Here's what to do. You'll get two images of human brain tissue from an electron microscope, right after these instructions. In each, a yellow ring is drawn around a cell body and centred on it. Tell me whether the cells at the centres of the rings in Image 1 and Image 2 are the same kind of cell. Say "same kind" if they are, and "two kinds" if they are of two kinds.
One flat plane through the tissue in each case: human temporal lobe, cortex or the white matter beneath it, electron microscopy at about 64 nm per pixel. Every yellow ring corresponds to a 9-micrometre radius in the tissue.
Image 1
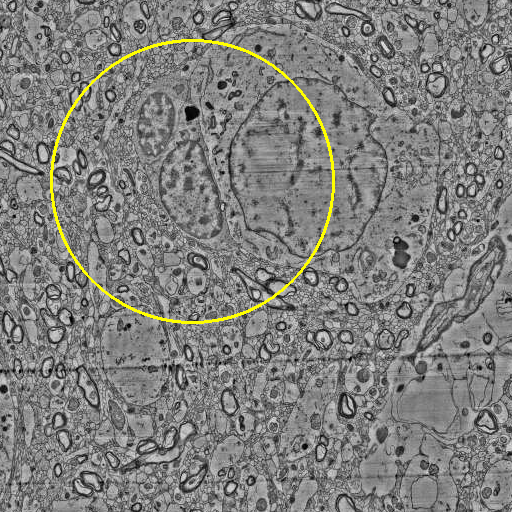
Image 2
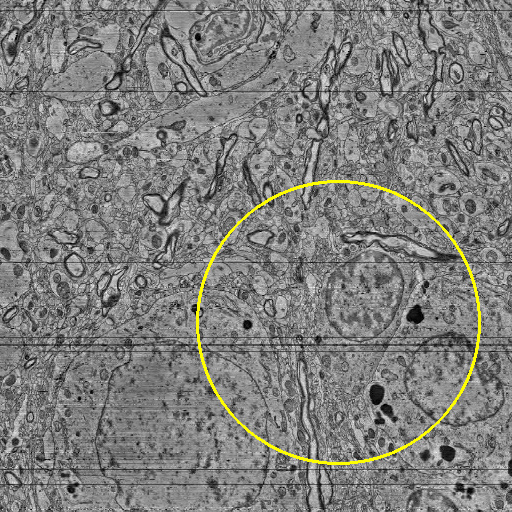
same kind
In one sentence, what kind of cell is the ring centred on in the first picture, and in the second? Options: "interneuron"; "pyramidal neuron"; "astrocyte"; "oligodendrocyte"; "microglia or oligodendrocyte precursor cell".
Each of the two cells is an oligodendrocyte.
